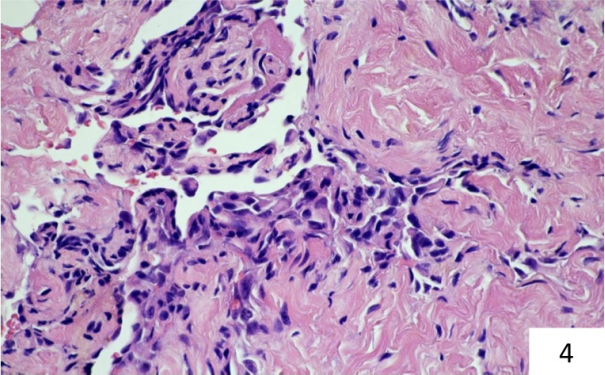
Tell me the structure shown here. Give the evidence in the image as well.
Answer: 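Irregular, branching slit-like spaces run between bundles of pink collagen. The spaces connect with one another. The spaces are lined by plump cells with dark nuclei. That points to this answer: anastomosing vascular channels.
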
